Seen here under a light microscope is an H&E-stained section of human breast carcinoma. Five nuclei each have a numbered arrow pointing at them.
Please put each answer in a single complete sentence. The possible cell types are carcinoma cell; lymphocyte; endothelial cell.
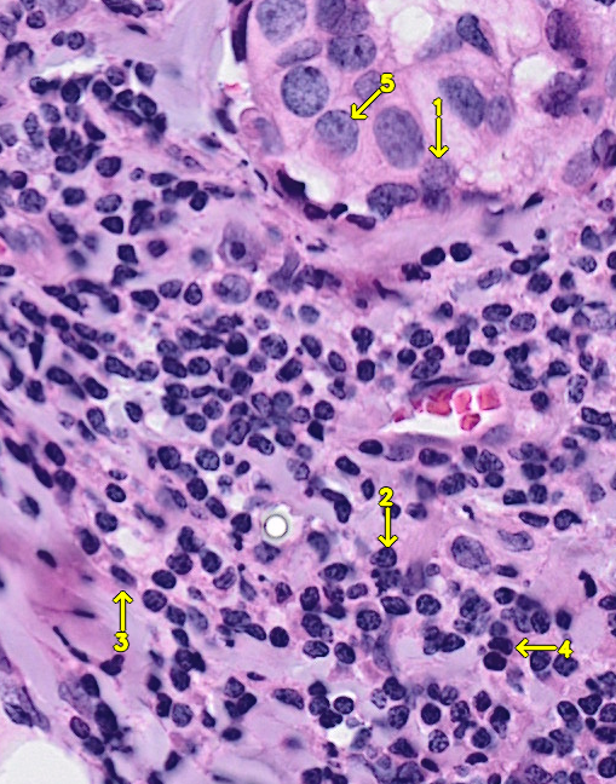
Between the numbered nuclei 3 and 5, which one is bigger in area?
It is nucleus 5, which covers about 3 times the area of nucleus 3.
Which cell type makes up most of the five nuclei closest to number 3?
Around number 3, most of the five nearest nuclei are those of lymphocytes.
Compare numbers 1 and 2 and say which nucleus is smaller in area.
Nucleus 2 covers less area, with nucleus 1 about 4 times as large.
